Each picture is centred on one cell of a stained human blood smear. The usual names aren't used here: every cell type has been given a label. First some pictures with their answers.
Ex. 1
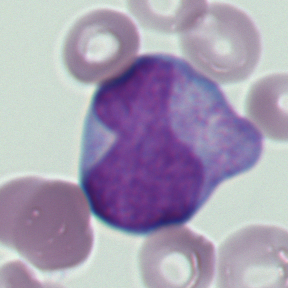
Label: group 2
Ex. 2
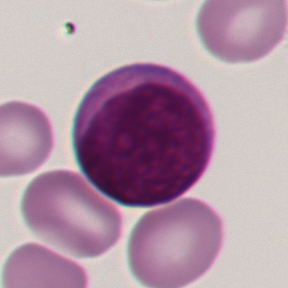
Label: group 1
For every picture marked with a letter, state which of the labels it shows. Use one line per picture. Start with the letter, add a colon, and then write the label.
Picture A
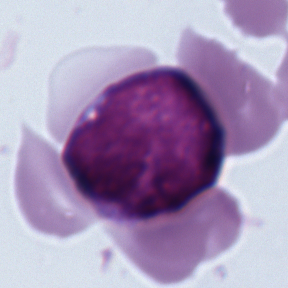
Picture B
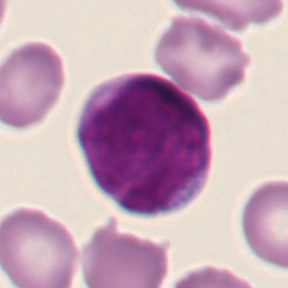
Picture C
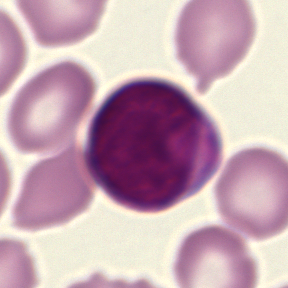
A: group 1
B: group 1
C: group 1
